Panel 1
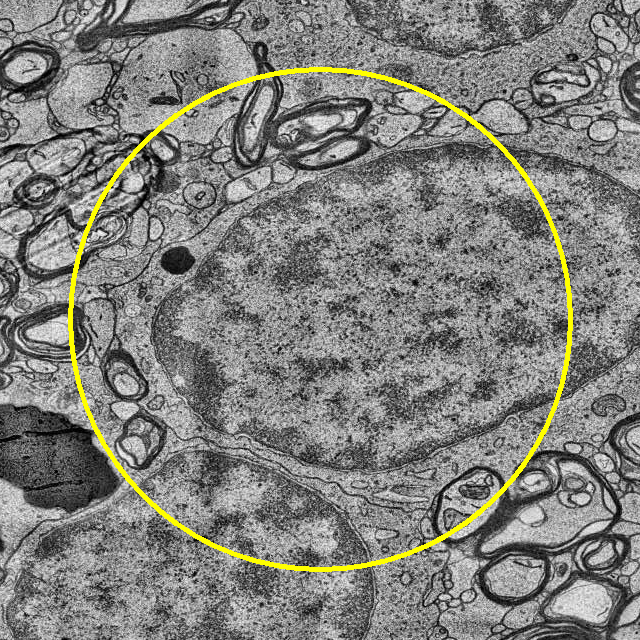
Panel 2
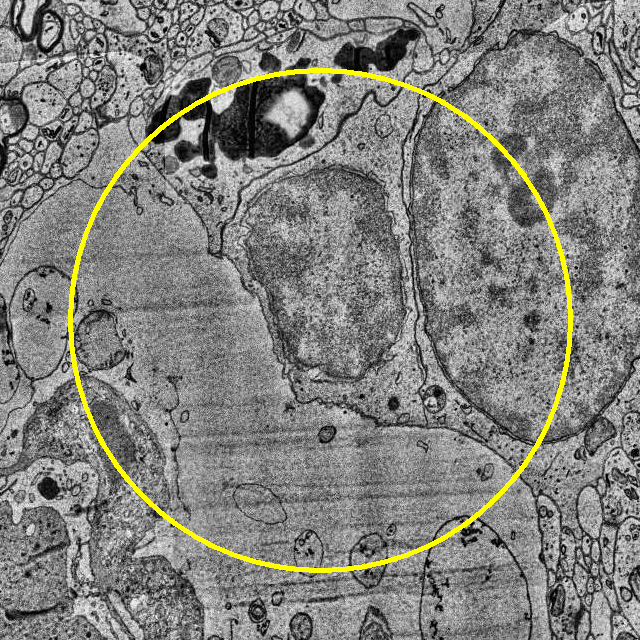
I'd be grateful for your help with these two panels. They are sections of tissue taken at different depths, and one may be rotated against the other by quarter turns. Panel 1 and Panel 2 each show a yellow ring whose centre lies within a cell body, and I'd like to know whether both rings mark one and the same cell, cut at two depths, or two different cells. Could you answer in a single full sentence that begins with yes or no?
No, one ring and the other ring mark two distinct cells.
